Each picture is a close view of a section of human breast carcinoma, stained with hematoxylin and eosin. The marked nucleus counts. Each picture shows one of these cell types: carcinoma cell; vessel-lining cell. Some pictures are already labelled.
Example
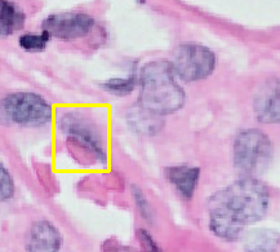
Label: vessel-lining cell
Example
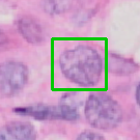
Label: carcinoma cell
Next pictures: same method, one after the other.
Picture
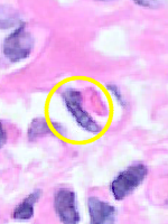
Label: vessel-lining cell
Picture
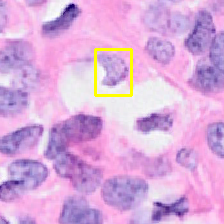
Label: carcinoma cell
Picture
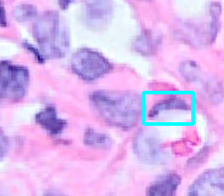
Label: vessel-lining cell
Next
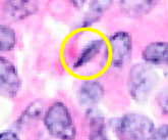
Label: vessel-lining cell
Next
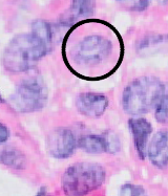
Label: carcinoma cell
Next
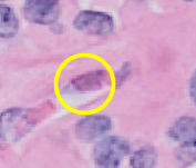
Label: vessel-lining cell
